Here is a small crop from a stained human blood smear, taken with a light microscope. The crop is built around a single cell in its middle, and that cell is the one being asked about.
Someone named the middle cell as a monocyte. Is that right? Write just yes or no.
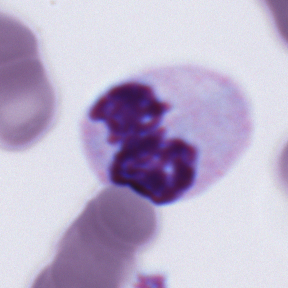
no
